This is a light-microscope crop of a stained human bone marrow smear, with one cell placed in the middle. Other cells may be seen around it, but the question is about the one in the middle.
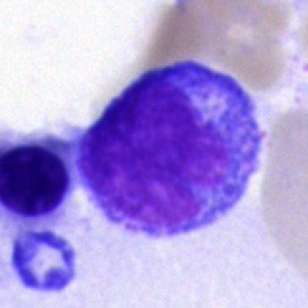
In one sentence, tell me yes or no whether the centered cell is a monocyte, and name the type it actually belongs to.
Yes, the middle cell is properly termed a monocyte.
